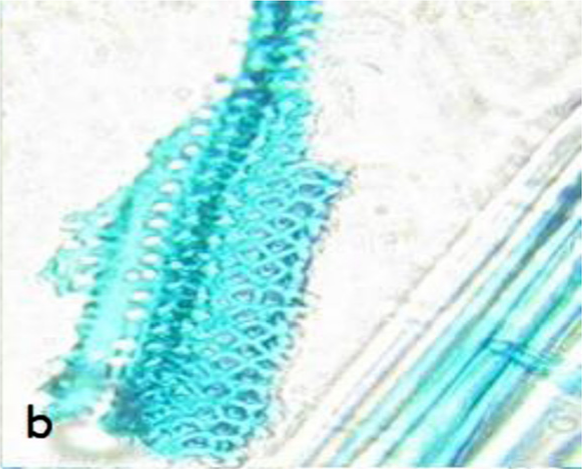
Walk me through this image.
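The blue-green stained wall is patterned as a net of small, rounded to oval meshes set in regular rows along the length of the vessel. A darker stained strip runs down the middle of the fragment where wall layers overlap.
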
